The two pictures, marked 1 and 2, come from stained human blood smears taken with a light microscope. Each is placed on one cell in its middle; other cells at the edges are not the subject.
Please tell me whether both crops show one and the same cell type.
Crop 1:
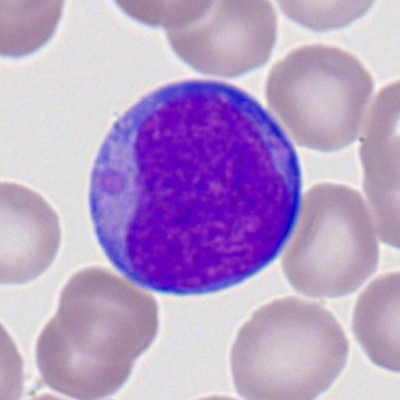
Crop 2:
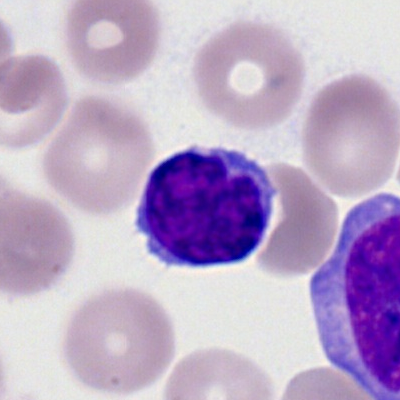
no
